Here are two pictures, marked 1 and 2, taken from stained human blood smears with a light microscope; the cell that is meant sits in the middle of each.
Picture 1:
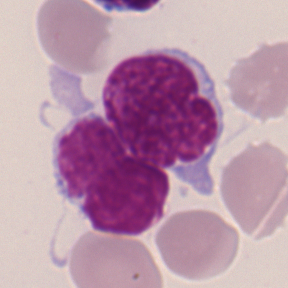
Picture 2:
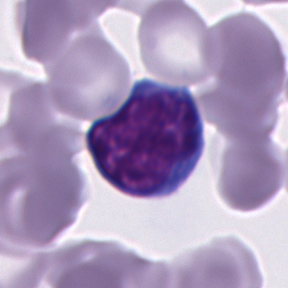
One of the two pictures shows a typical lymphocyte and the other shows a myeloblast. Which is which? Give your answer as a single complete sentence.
Picture 1 is of a myeloblast, and picture 2 is of a typical lymphocyte.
